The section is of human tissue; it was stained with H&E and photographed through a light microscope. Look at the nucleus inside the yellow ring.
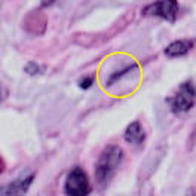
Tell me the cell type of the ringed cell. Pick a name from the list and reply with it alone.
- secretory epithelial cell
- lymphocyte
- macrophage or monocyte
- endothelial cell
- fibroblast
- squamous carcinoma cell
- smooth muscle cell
fibroblast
